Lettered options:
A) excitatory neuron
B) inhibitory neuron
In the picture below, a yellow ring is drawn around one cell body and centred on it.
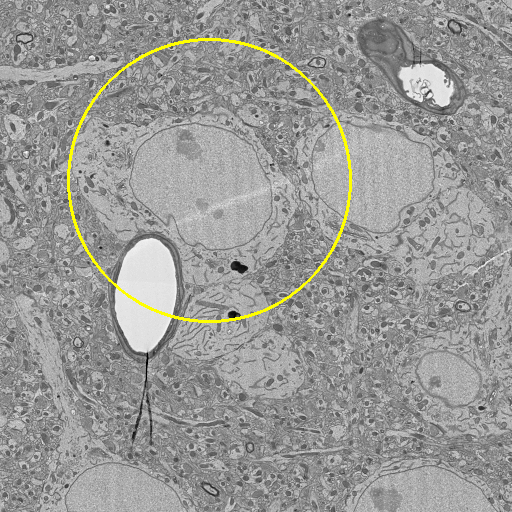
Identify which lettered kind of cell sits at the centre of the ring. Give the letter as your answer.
A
